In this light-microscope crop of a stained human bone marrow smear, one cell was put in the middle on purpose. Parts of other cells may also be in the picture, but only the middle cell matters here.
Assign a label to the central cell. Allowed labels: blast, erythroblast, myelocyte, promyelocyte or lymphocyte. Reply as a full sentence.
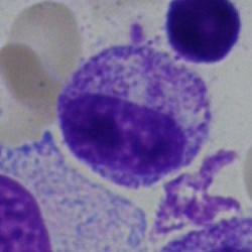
The crop shows a myelocyte in its centre.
